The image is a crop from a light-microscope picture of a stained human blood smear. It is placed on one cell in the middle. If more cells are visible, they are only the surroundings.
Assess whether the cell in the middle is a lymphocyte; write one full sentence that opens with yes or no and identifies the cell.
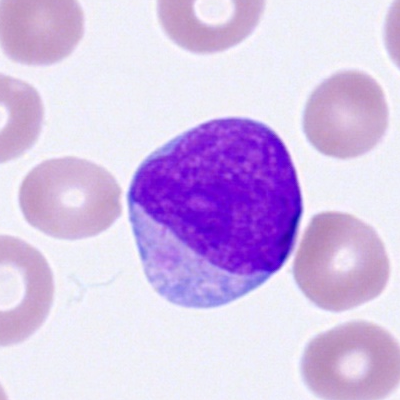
No, the cell at the centre is a myeloblast, which rules out a lymphocyte.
